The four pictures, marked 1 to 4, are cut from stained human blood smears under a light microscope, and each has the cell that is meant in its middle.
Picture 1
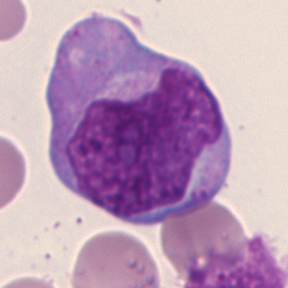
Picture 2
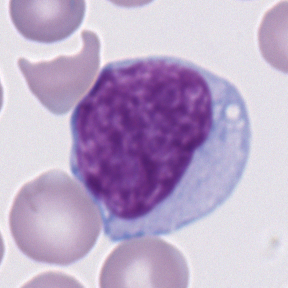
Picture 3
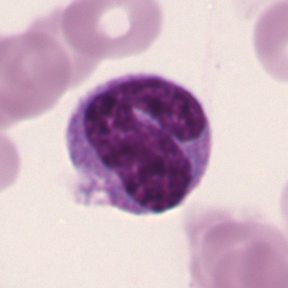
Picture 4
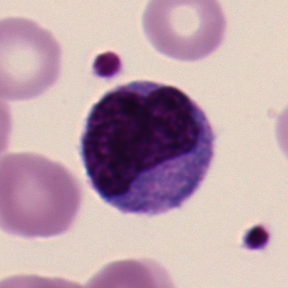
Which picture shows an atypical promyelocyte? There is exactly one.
1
